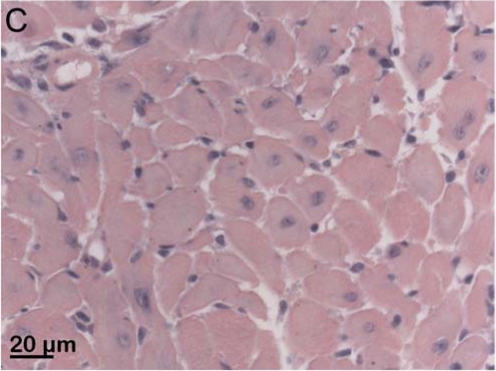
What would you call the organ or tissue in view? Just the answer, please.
Hearts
